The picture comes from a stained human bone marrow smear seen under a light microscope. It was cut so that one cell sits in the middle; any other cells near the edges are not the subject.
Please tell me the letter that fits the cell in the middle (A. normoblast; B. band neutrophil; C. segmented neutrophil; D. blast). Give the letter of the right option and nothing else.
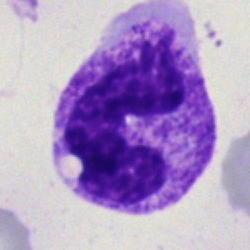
B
